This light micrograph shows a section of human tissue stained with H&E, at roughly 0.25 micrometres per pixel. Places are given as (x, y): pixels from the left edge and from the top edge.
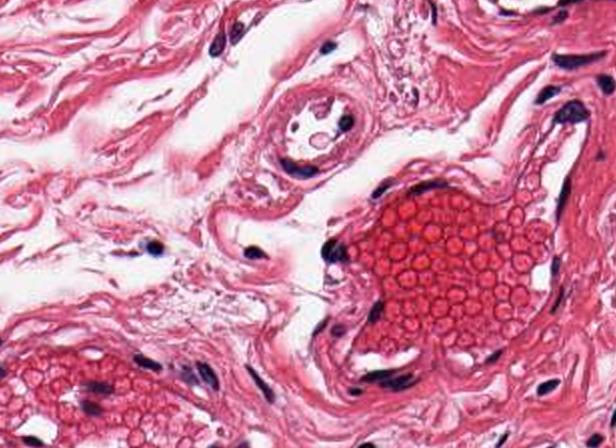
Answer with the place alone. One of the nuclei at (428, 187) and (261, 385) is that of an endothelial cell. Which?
(428, 187)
